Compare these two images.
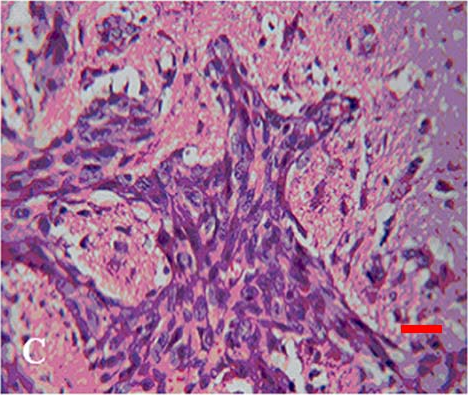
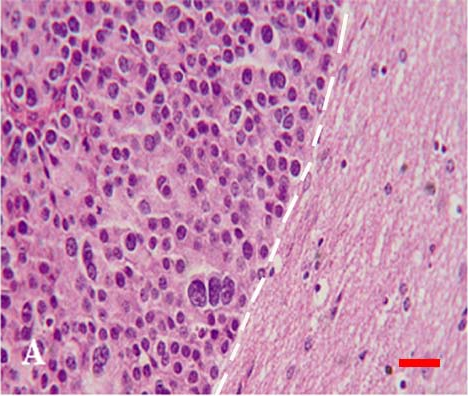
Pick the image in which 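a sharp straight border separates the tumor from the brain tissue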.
The second image.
